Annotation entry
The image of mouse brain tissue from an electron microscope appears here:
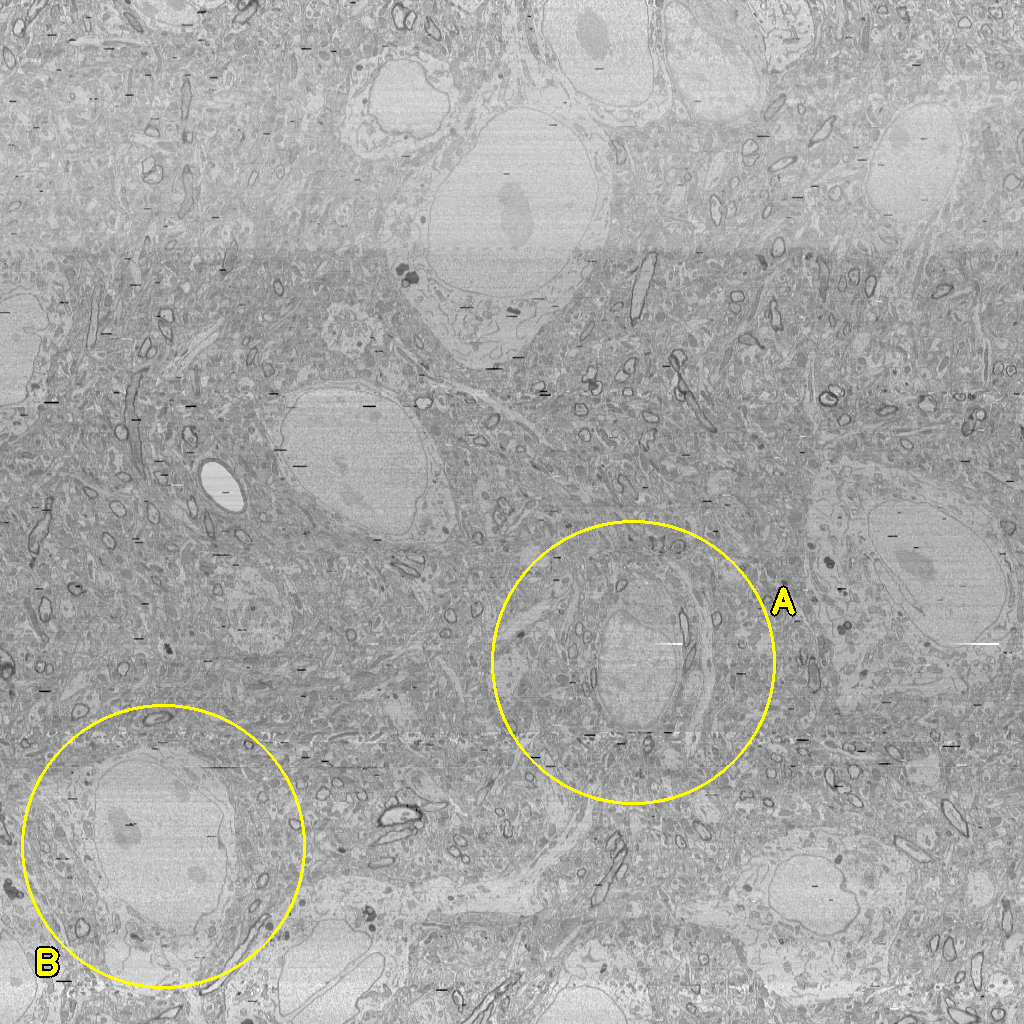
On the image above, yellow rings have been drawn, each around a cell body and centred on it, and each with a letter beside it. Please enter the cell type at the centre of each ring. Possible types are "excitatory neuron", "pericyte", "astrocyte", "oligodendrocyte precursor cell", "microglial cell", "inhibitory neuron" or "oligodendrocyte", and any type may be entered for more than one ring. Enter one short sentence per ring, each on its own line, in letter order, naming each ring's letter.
The cell that ring A is centred on is an oligodendrocyte.
The cell that ring B is centred on is an excitatory neuron.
